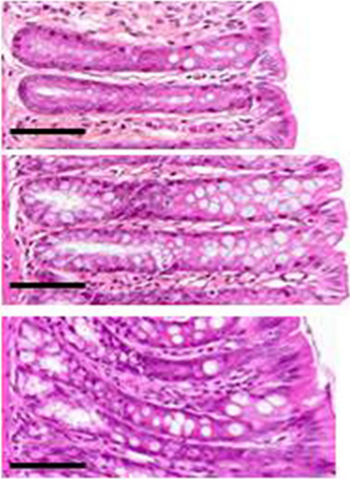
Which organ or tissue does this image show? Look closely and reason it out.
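Straight tubular crypts lie side by side with no villi. The crypt epithelium holds many pale, rounded goblet cells. Thin strands of lamina propria separate the crypts. The answer: colon.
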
